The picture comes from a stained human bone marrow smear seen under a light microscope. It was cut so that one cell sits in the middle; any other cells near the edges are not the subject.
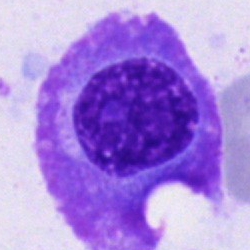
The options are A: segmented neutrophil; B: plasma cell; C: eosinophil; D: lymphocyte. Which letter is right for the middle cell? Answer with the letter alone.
B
